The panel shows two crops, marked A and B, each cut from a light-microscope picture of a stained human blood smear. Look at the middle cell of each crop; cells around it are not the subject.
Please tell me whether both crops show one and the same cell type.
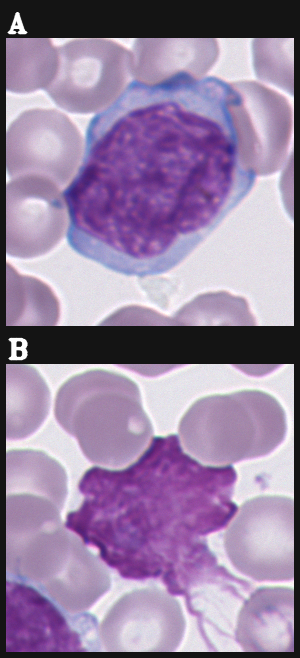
no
